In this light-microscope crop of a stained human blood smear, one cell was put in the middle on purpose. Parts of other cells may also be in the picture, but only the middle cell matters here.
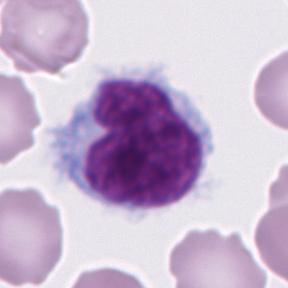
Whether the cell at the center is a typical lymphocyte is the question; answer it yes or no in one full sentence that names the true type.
No, it is not a typical lymphocyte that sits at the centre but a hairy cell.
